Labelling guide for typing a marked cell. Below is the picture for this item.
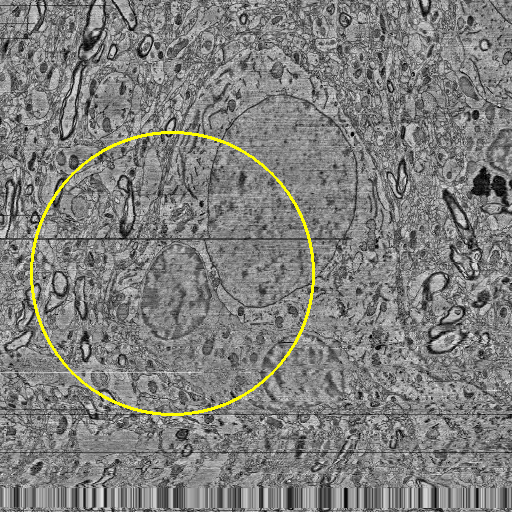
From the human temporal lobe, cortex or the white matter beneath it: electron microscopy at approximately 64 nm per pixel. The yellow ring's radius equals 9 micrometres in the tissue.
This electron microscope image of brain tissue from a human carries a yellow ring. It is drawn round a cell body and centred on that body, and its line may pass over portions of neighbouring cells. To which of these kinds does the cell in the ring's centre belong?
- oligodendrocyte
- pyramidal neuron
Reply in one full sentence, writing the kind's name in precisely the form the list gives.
Here we have an oligodendrocyte at the centre of the yellow ring in the picture.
